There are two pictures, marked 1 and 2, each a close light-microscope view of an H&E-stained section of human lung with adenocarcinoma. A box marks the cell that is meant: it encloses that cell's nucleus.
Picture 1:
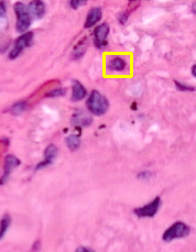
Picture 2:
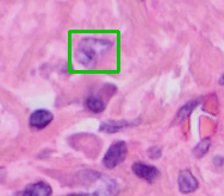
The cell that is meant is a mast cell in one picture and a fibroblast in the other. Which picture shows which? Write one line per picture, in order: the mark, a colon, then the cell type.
1: mast cell
2: fibroblast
